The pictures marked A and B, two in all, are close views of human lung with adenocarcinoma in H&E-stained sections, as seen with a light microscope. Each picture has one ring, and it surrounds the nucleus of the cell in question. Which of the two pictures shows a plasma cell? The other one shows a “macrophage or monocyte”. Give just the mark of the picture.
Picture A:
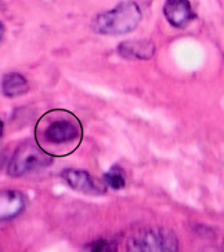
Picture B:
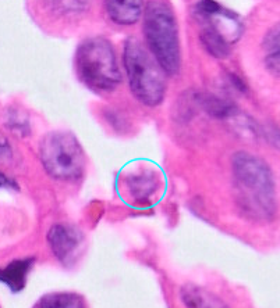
A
